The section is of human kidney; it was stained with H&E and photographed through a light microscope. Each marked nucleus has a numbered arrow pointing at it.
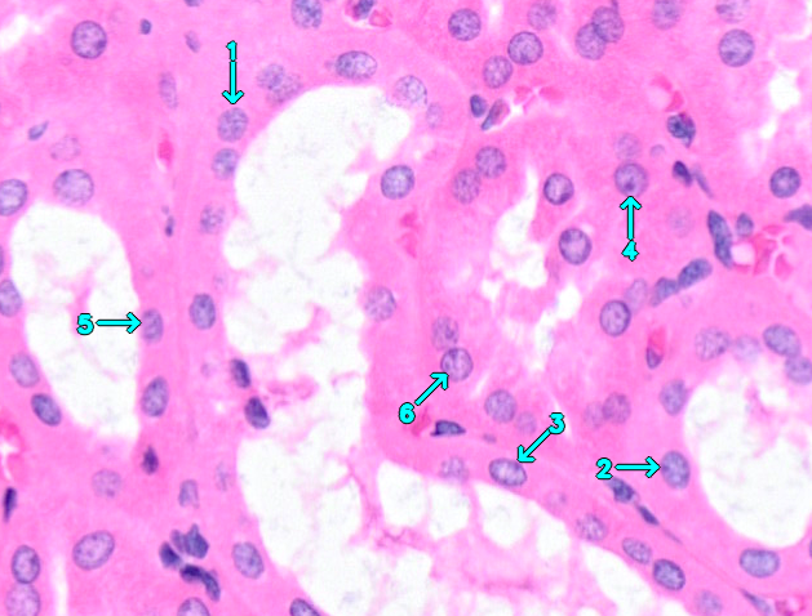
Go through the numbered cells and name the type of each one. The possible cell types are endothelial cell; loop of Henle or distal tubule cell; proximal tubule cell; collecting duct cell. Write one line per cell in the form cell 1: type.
cell 1: loop of Henle or distal tubule cell
cell 2: loop of Henle or distal tubule cell
cell 3: loop of Henle or distal tubule cell
cell 4: proximal tubule cell
cell 5: loop of Henle or distal tubule cell
cell 6: proximal tubule cell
